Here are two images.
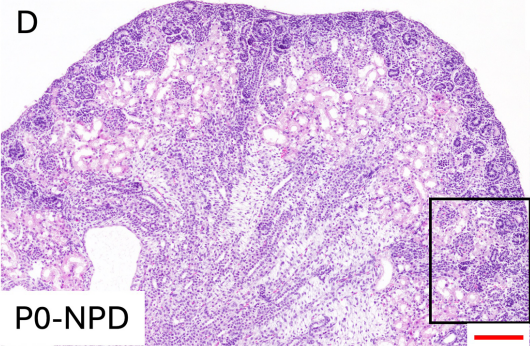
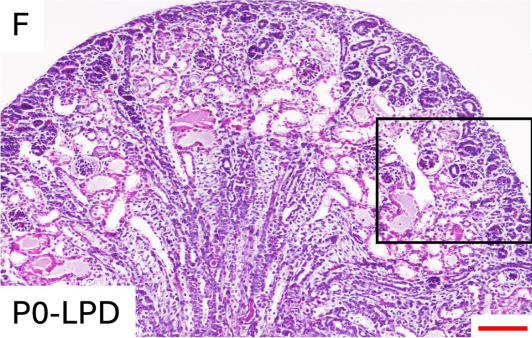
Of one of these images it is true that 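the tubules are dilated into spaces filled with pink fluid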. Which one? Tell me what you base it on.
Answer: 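Second image: several widened tubular spaces contain homogeneous pale pink material. First image: tubules are narrow with small lumens and no large pink-filled spaces. So: the second image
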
